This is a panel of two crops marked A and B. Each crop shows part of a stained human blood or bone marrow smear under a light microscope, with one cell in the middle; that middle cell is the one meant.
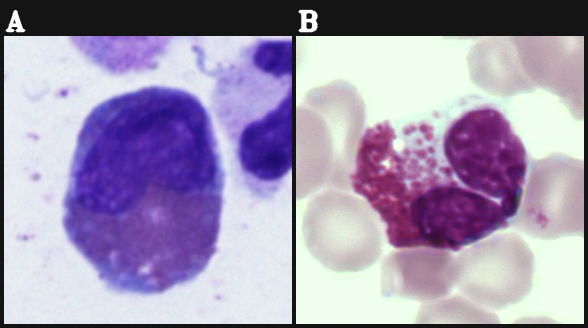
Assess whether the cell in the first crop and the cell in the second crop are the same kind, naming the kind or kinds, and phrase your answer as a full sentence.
Yes, eosinophils are the cells shown in both crops.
